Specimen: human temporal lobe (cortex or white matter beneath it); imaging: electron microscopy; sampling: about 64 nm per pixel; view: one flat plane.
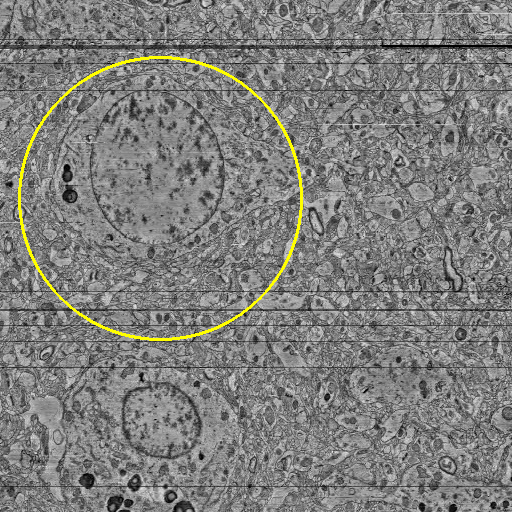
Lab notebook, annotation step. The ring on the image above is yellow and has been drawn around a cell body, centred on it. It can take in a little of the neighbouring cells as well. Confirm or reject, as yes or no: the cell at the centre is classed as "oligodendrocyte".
No, the cell is of another class.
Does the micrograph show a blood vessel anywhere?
No, there is no blood vessel.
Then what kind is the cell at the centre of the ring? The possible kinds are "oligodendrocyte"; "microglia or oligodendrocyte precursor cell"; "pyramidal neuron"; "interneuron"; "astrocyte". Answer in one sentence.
The answer is that the ringed cell is a pyramidal neuron.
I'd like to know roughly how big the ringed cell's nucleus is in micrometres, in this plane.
Roughly 9 micrometers across, in this plane.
